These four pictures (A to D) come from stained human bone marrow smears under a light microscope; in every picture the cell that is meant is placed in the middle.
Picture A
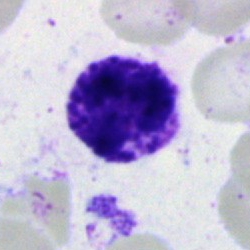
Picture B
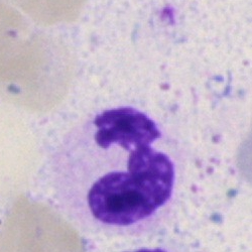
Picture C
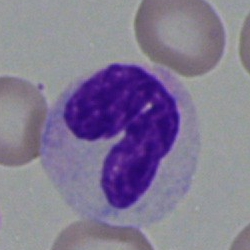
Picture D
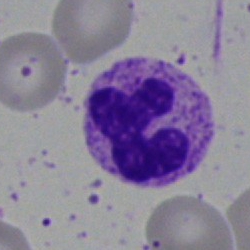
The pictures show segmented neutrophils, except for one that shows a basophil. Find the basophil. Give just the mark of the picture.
A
